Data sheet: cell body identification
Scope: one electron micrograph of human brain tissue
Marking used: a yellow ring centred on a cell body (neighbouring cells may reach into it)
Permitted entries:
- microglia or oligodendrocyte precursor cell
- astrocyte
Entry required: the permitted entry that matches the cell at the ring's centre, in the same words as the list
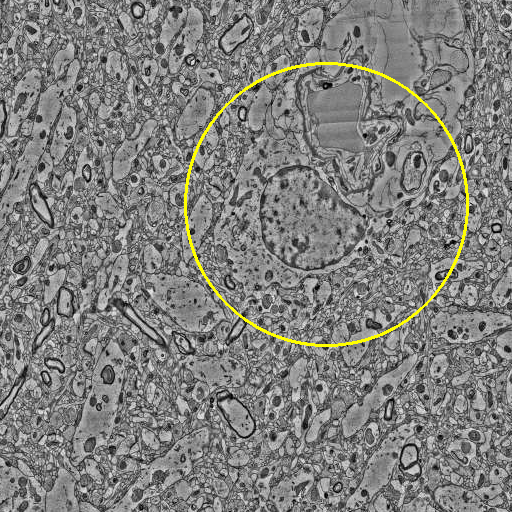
microglia or oligodendrocyte precursor cell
